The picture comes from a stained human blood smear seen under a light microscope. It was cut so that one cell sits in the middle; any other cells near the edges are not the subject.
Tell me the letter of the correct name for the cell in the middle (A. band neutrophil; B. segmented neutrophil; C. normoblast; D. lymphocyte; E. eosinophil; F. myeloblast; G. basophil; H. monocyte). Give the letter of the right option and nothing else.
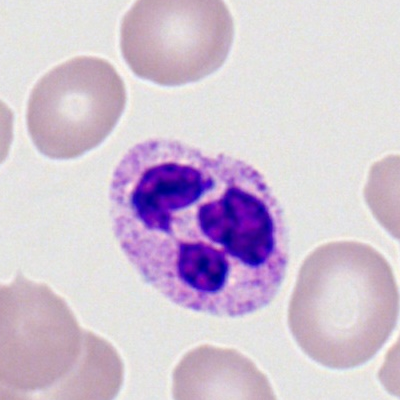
B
